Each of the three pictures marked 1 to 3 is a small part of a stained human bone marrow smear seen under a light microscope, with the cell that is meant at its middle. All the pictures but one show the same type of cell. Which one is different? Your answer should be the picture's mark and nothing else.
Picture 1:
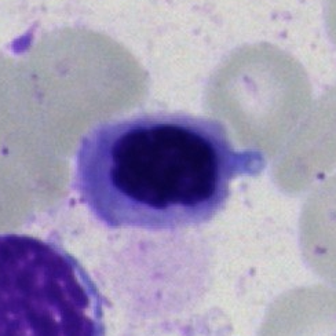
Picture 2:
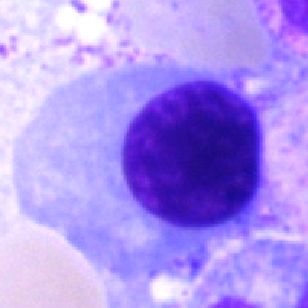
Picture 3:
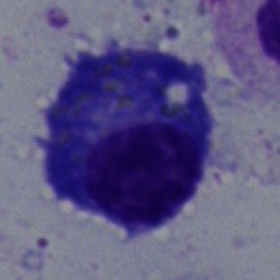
3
